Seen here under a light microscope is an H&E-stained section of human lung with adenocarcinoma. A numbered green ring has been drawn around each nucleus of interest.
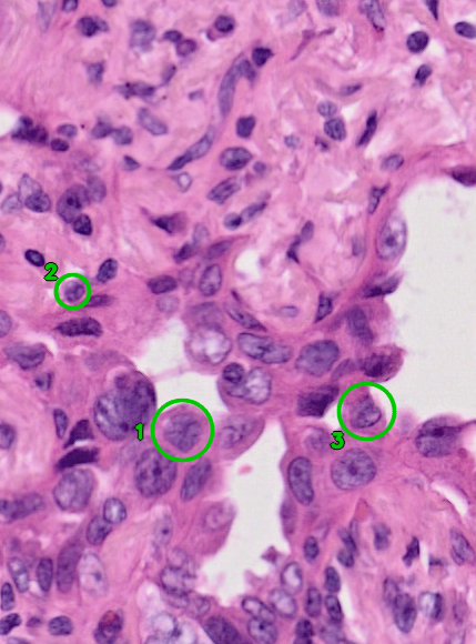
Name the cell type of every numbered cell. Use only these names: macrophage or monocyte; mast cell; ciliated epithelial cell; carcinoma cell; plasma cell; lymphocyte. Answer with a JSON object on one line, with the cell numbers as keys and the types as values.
{"1": "carcinoma cell", "2": "lymphocyte", "3": "carcinoma cell"}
